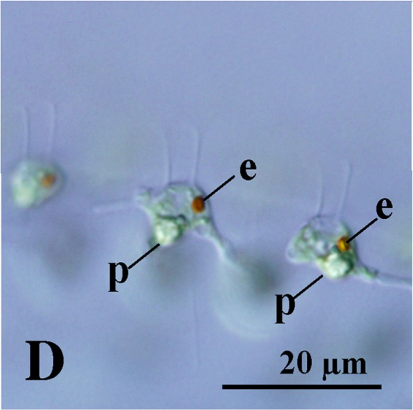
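This is a side view of a few somatic cells at the surface of a spheroid. The cells are small, irregularly shaped green bodies set in a clear surrounding matrix. Two long, fine flagella project from the outer side of each cell. Each cell shows a small orange-red dot at one side, the eyespot. A rounded refractile body sits inside the green chloroplast, the pyrenoid. Thin strands extend from the cells toward their neighbours.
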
